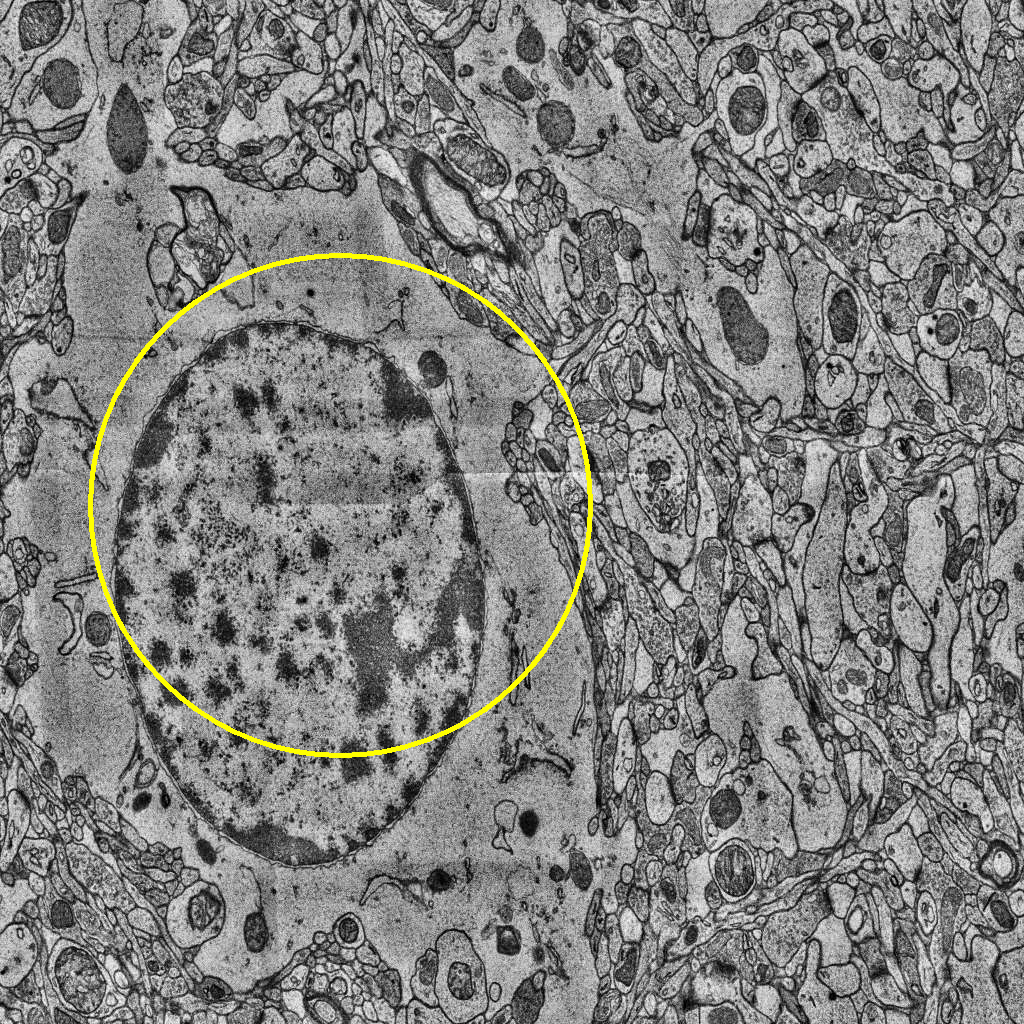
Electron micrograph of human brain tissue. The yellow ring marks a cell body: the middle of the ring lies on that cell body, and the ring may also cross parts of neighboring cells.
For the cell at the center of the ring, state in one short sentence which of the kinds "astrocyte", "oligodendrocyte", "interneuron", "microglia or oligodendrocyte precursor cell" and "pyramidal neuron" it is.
This ring's center lies on an astrocyte.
